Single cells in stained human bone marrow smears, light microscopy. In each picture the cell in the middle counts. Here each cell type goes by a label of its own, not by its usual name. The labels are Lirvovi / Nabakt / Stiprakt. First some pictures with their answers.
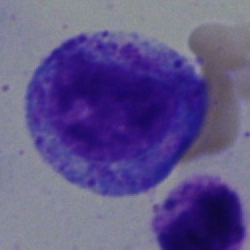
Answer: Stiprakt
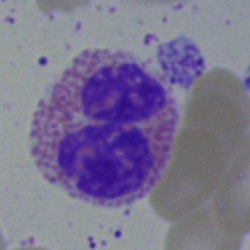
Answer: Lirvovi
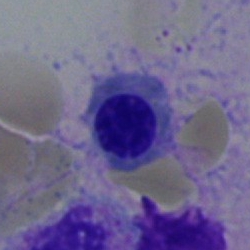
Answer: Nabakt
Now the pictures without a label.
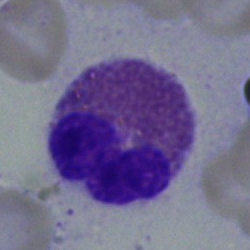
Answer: Lirvovi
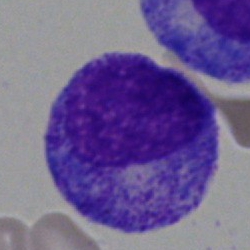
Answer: Stiprakt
